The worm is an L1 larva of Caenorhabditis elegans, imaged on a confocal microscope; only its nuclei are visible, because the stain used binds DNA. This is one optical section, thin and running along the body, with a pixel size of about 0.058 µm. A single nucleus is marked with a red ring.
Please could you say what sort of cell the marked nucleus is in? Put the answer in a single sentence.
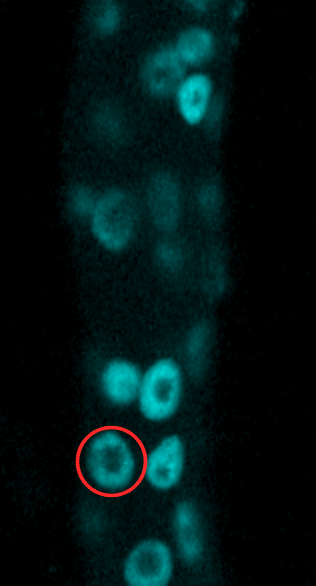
The cell with the marked nucleus is a hypodermal cell (hyp).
